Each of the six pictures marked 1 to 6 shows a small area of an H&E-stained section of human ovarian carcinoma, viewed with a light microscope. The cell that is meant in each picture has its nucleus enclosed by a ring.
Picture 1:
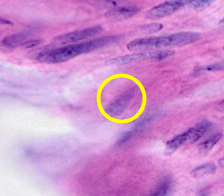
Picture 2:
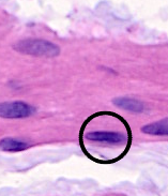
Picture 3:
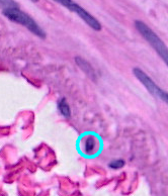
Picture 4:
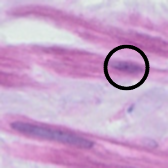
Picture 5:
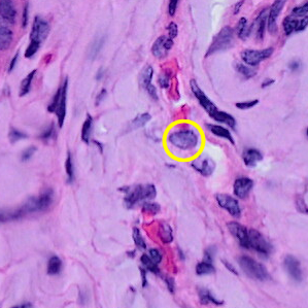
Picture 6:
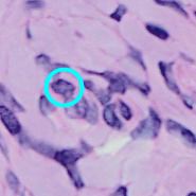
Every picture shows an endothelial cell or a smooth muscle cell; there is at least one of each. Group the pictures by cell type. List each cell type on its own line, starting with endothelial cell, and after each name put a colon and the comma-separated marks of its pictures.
endothelial cell: 3, 5, 6
smooth muscle cell: 1, 2, 4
